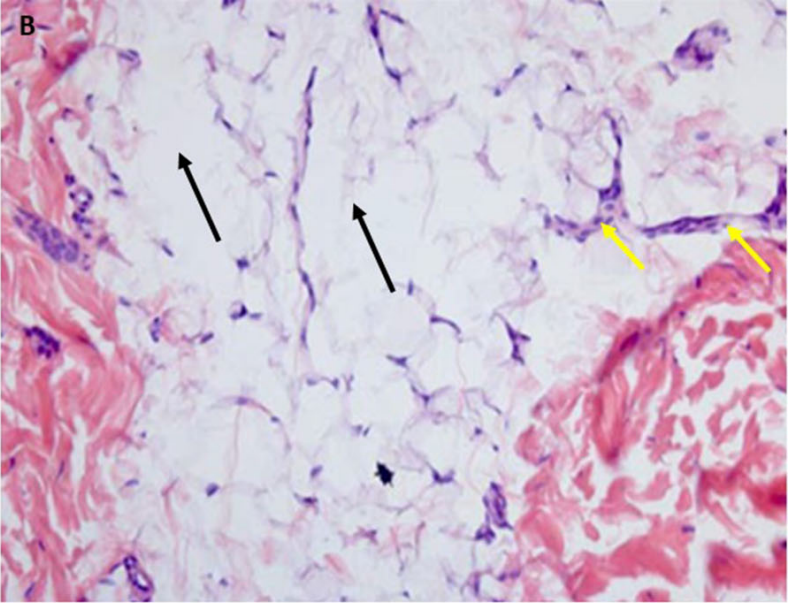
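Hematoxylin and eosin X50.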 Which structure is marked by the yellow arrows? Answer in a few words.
vessels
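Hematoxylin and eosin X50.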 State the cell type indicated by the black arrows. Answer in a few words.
Adipocytes.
